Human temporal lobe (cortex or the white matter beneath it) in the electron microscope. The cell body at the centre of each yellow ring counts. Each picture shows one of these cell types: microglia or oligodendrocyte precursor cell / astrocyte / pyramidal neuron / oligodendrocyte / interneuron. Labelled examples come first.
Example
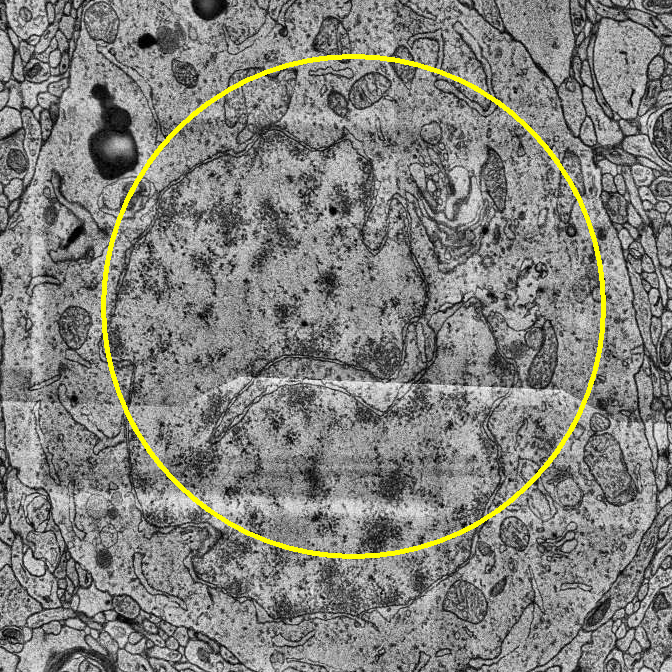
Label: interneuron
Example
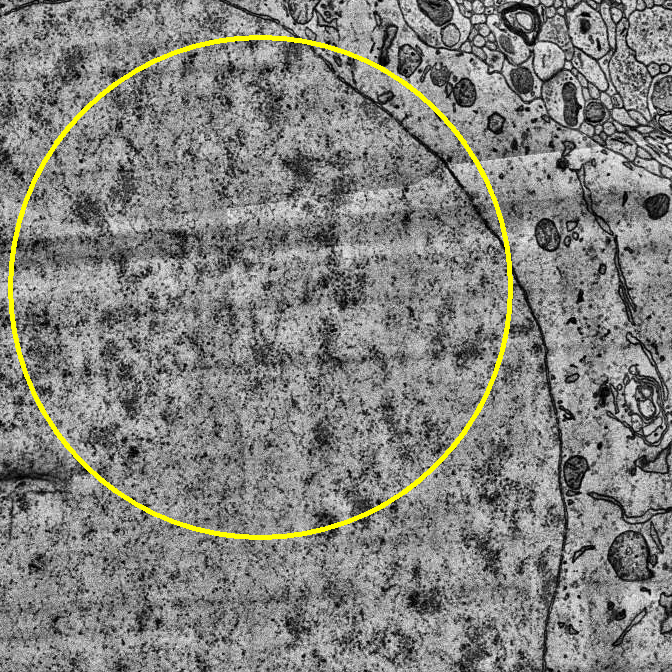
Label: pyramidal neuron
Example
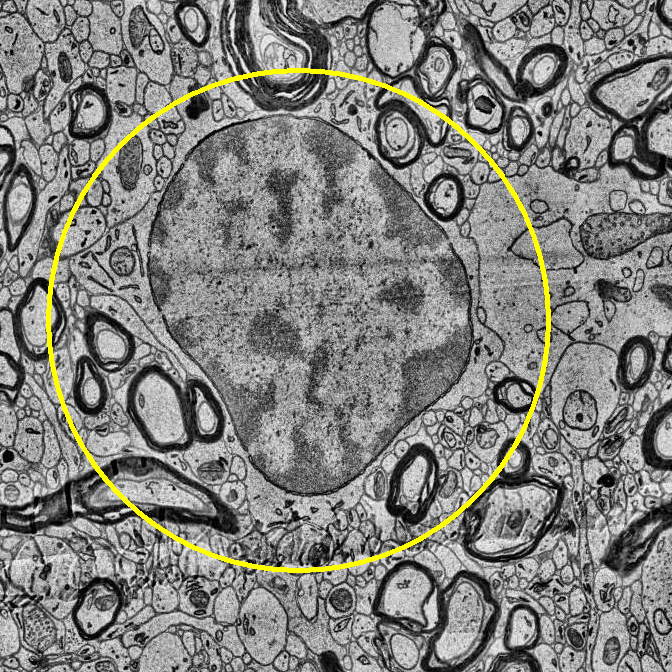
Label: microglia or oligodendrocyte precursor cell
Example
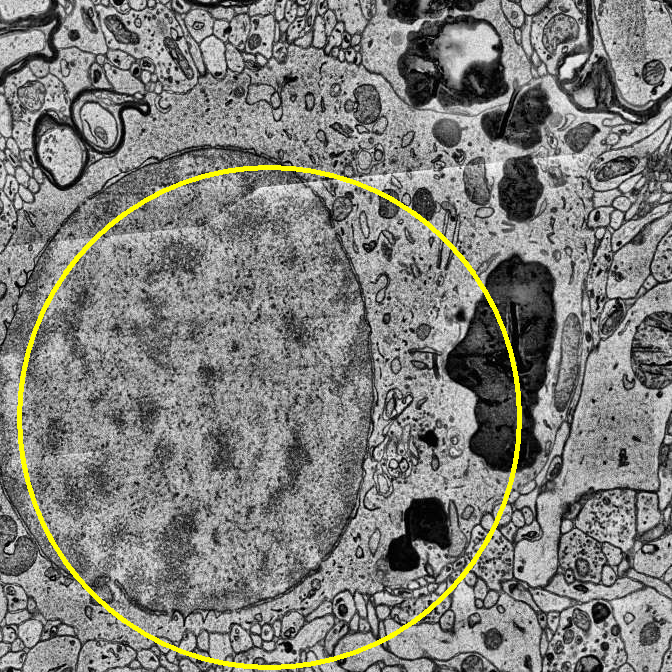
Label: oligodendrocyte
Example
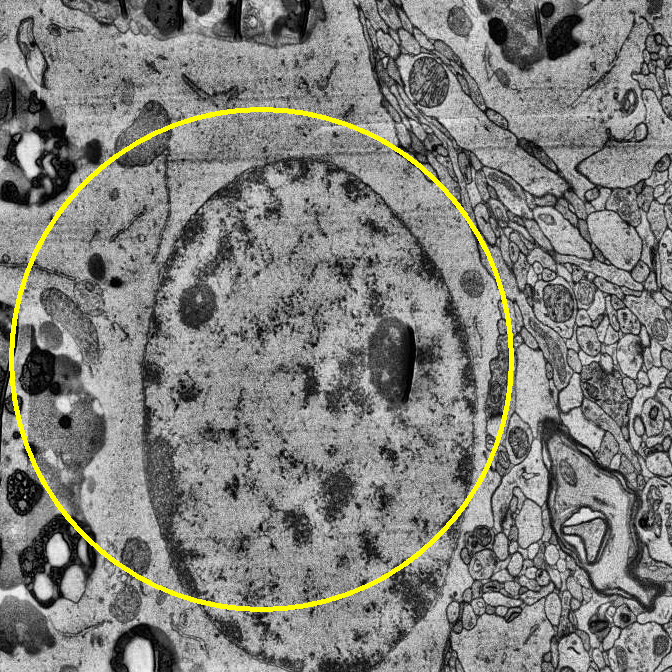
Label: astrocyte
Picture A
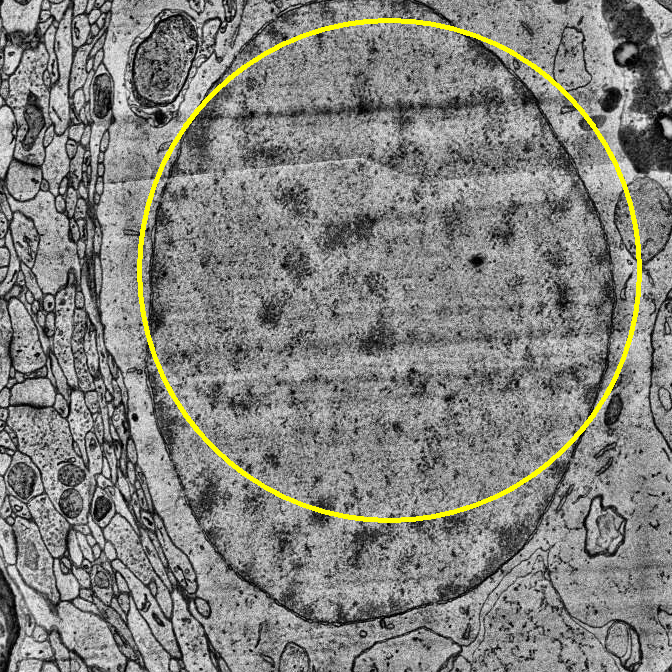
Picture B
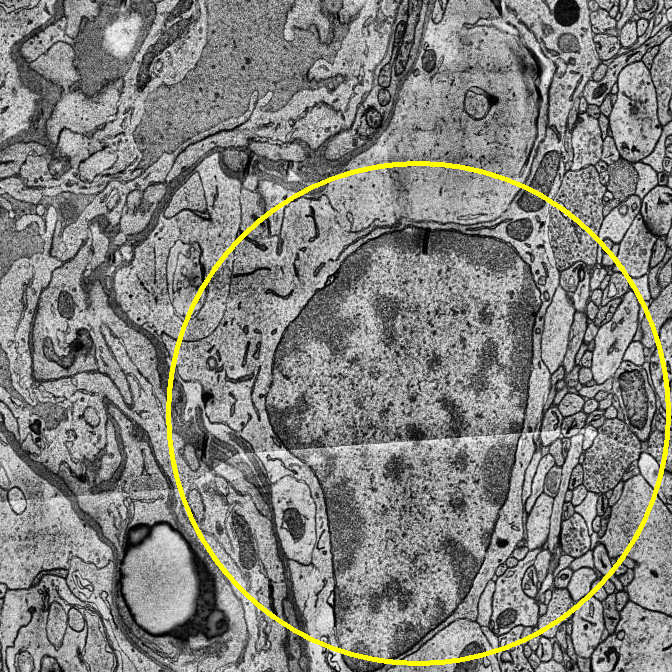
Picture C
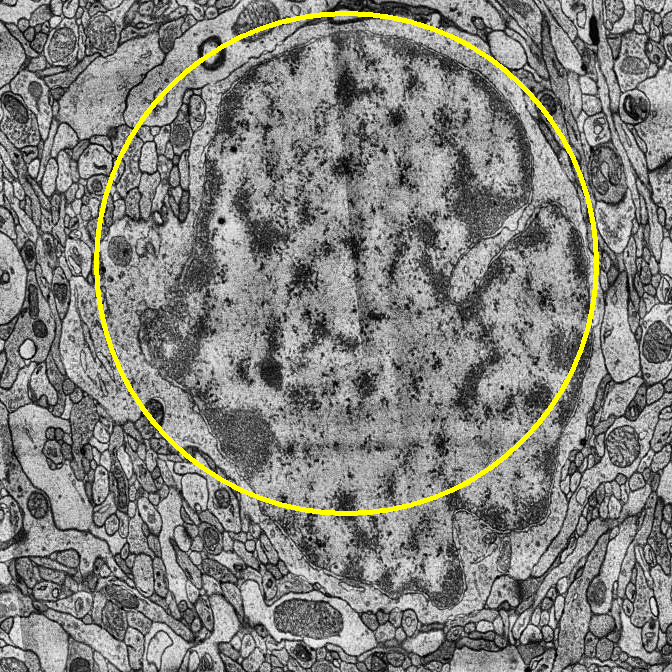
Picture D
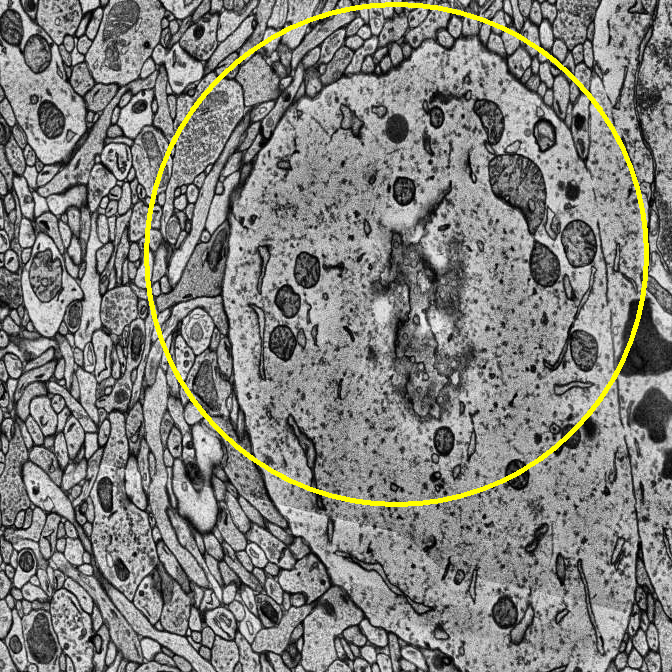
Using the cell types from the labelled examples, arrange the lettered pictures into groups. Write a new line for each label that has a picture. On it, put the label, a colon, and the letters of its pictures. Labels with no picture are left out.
microglia or oligodendrocyte precursor cell: B, C
astrocyte: A
pyramidal neuron: D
